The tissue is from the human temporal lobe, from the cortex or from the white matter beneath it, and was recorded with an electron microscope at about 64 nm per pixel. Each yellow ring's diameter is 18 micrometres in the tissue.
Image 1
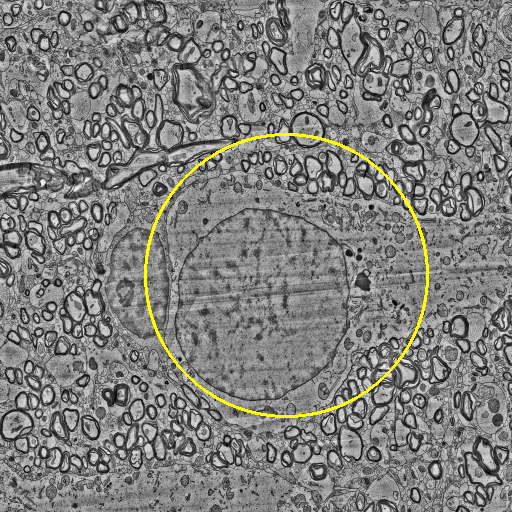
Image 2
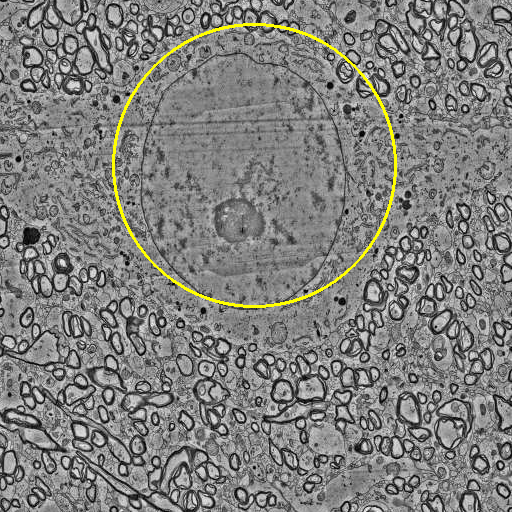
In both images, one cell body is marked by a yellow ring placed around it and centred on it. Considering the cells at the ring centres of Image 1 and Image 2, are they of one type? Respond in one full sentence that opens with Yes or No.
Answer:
Yes, a single type applies to the ring-centred cells of both Image 1 and Image 2.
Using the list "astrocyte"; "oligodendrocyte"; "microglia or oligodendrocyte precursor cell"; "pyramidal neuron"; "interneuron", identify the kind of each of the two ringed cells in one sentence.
In the first picture and in the second, the ring is centred on a pyramidal neuron.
